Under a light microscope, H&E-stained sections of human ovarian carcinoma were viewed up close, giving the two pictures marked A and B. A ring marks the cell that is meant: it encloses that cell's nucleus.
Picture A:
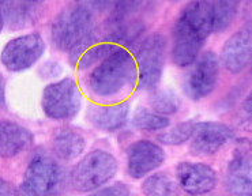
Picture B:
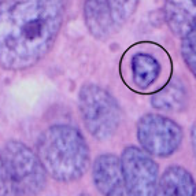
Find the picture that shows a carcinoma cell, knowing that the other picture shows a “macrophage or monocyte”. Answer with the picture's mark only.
A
